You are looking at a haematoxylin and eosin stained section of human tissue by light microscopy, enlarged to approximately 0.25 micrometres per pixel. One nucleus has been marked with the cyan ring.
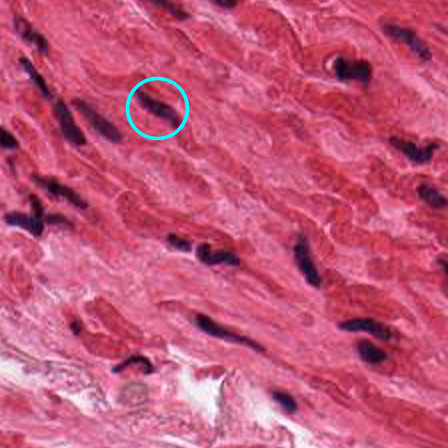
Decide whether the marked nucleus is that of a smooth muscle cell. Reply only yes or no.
yes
